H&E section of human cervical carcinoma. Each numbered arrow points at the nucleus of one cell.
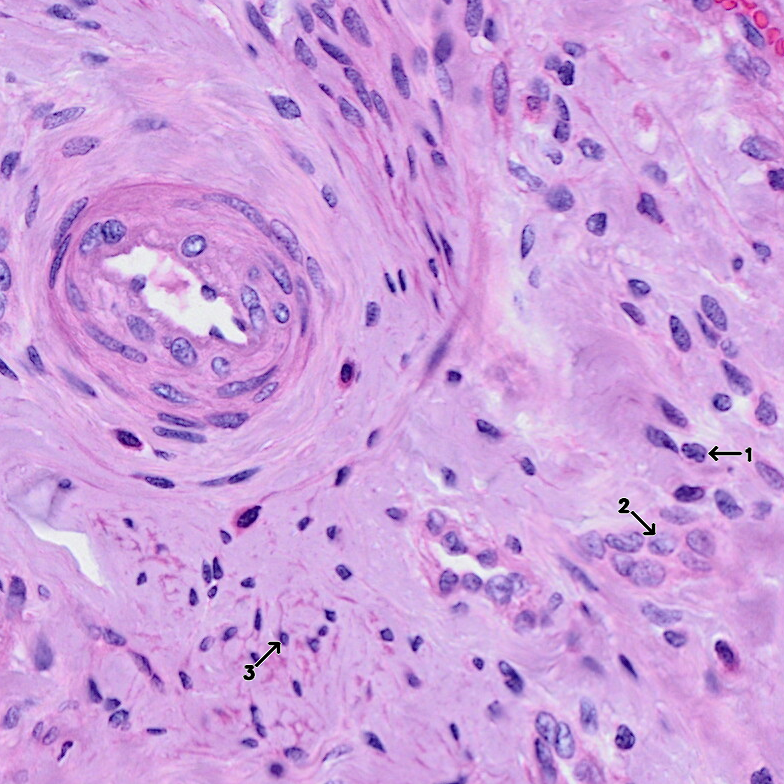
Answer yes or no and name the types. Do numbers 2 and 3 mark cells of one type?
No, cell 3 is a smooth muscle cell, and cell 2 is an endothelial cell.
